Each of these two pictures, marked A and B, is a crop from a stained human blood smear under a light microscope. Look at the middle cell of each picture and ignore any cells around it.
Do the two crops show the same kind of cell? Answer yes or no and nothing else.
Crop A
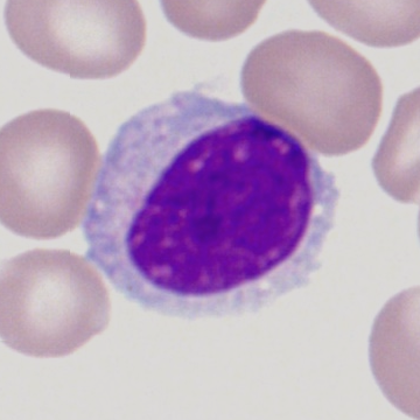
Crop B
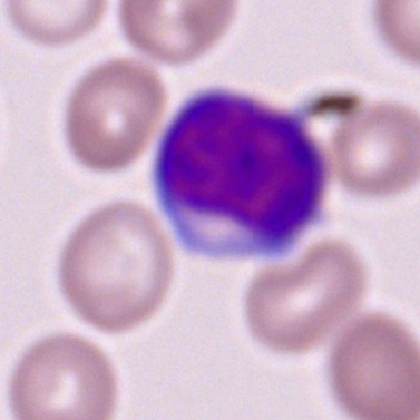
yes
